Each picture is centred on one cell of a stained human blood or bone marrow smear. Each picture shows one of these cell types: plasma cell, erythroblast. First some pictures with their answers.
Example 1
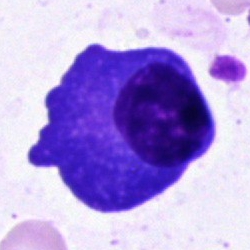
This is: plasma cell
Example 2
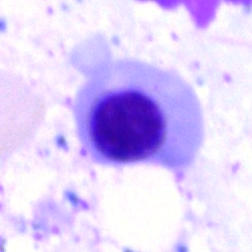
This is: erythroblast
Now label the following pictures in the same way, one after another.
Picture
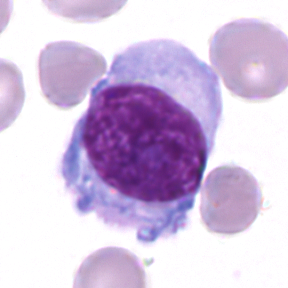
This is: plasma cell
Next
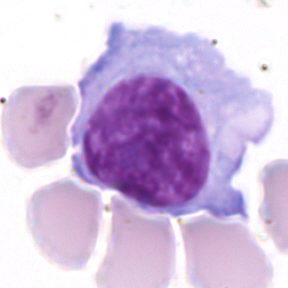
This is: plasma cell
